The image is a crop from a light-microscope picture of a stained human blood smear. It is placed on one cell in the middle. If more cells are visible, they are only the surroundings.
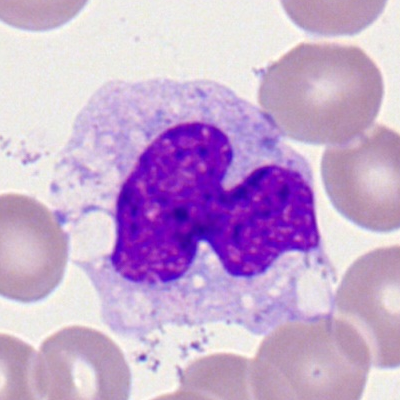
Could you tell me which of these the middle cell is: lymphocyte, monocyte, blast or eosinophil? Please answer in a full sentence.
In the middle of this smear crop is a monocyte.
